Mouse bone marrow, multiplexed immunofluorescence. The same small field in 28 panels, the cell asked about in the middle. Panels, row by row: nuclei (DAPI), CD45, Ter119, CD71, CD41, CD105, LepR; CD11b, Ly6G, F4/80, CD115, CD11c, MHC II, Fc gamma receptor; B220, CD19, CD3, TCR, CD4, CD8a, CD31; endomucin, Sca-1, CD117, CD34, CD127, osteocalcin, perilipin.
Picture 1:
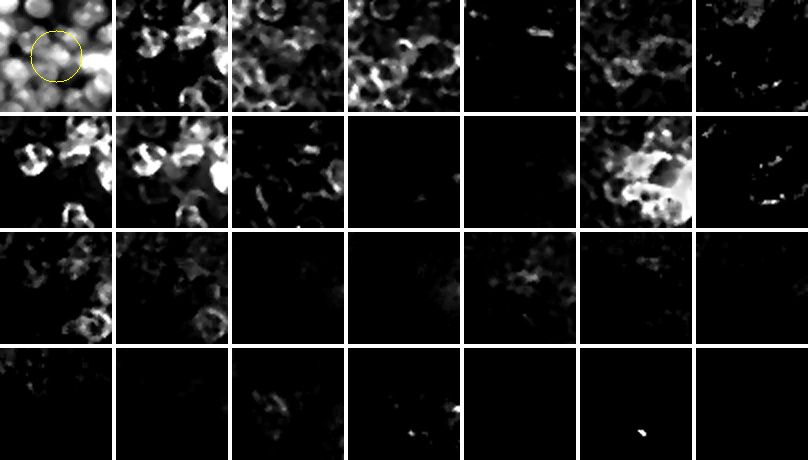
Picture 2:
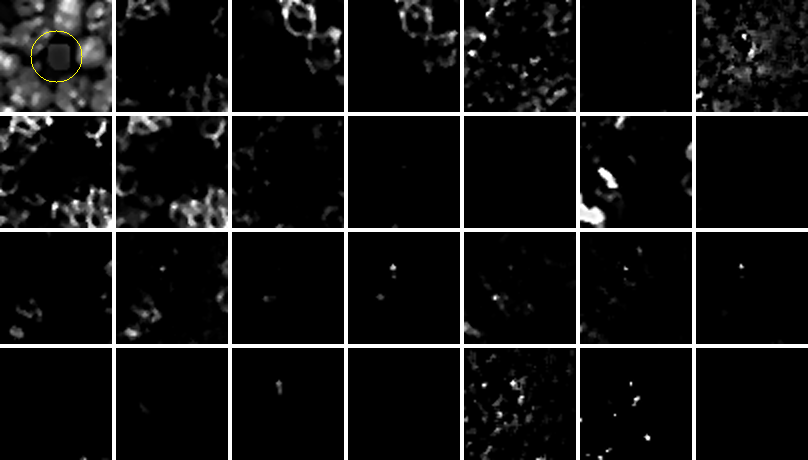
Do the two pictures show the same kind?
No: an erythroblast, then a LepR-positive perivascular cell.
